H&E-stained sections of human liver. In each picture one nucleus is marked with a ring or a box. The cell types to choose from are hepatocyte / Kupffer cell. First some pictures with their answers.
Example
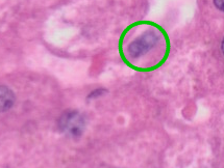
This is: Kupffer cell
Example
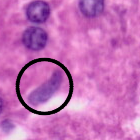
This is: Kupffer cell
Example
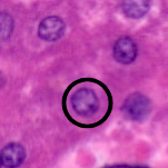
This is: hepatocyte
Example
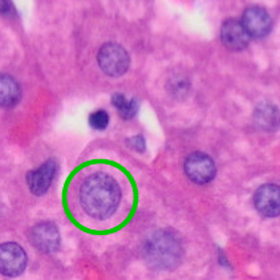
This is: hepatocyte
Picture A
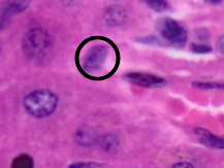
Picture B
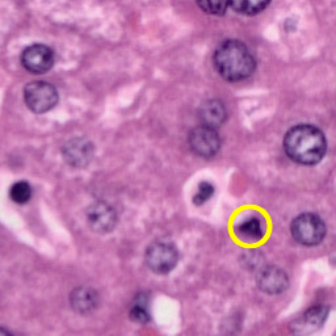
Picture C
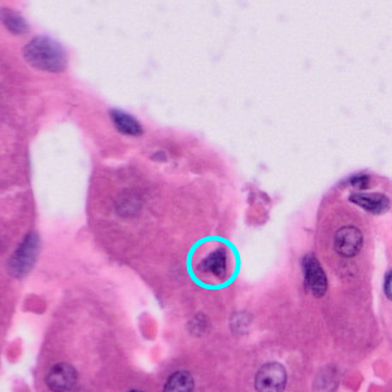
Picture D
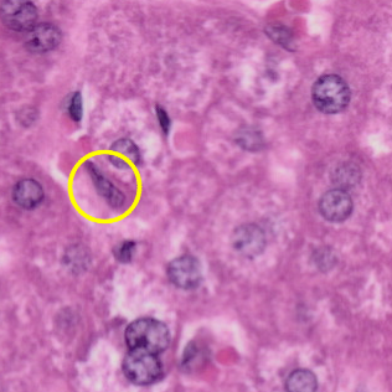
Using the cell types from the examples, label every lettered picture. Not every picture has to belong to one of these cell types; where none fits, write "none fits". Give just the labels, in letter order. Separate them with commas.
none fits, none fits, none fits, Kupffer cell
